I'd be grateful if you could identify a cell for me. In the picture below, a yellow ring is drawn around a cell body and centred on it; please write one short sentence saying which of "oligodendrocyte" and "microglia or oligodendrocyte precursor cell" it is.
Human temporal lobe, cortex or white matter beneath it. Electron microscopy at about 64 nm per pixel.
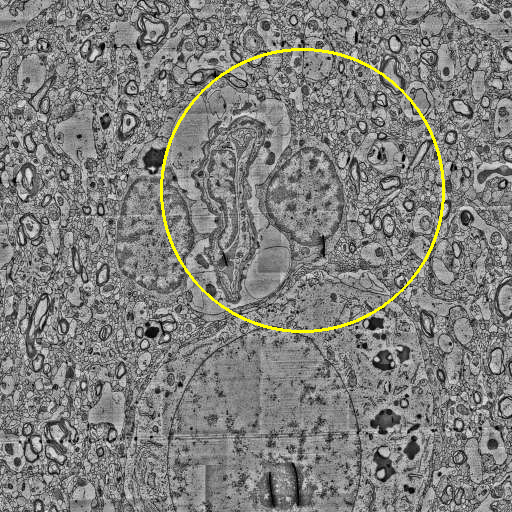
The cell under the ring's centre is an oligodendrocyte.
